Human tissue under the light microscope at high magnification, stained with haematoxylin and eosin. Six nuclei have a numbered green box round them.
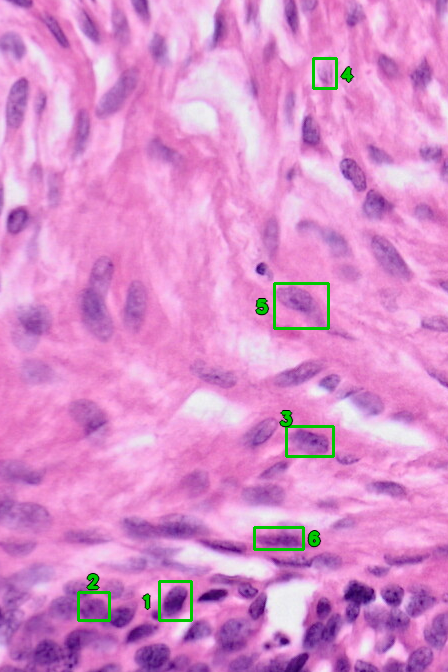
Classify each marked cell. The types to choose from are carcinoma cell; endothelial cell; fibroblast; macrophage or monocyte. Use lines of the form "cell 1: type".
cell 1: carcinoma cell
cell 2: carcinoma cell
cell 3: fibroblast
cell 4: fibroblast
cell 5: fibroblast
cell 6: fibroblast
